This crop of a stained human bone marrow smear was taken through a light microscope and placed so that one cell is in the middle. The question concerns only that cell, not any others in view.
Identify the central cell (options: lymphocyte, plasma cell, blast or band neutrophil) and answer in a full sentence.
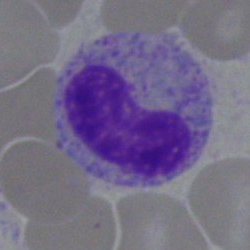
At the middle of the frame sits a band neutrophil.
